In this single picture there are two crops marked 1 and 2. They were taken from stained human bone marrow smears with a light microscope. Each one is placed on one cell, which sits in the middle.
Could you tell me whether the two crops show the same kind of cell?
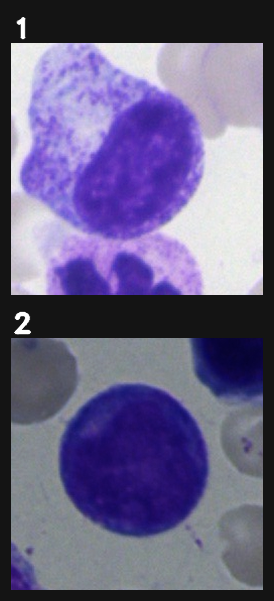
no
